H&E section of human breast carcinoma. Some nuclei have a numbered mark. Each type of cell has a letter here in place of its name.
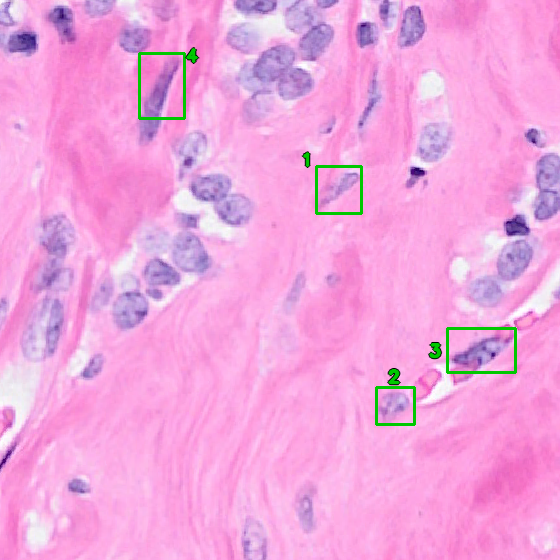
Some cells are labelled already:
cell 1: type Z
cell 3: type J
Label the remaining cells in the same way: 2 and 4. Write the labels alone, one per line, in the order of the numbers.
type J
type Z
